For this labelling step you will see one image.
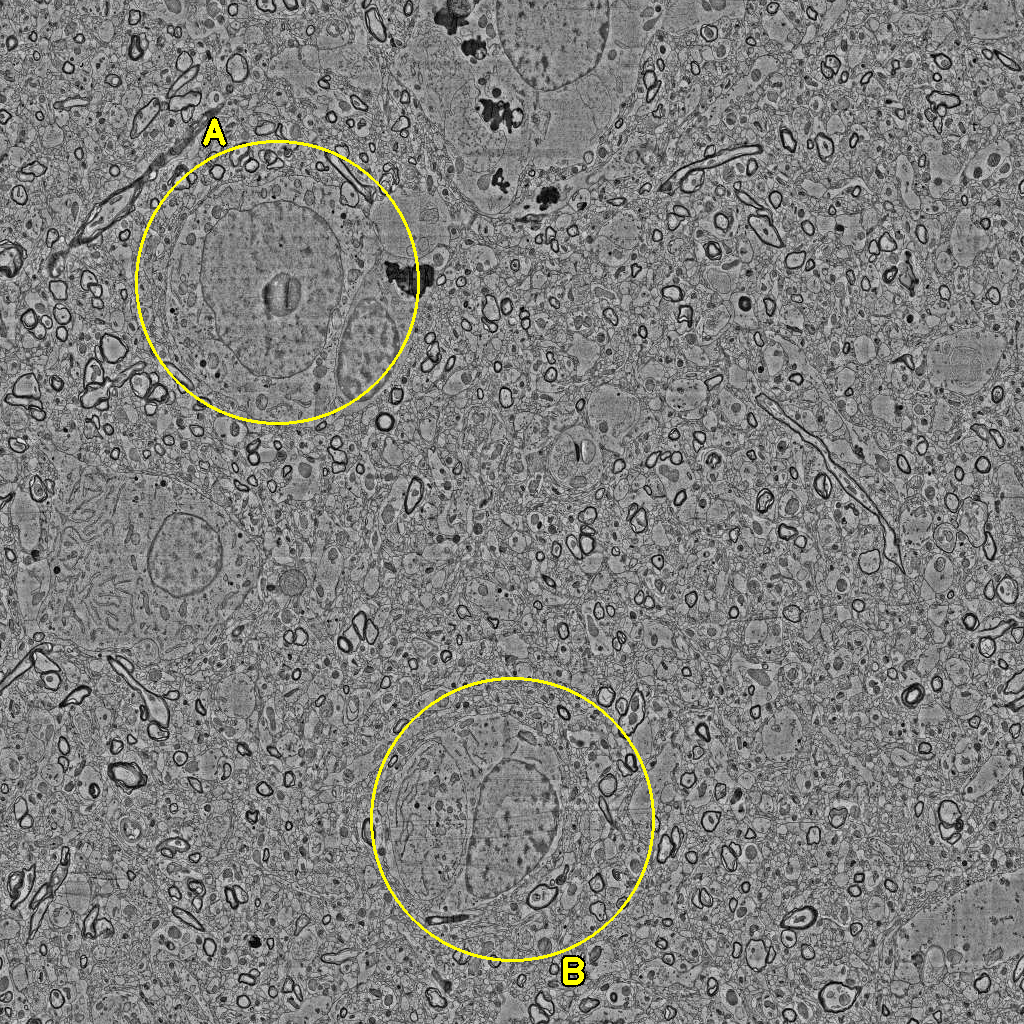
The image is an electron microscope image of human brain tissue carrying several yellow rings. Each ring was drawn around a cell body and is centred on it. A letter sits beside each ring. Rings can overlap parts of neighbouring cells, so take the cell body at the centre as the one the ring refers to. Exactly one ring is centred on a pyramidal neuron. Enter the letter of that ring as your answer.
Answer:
A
